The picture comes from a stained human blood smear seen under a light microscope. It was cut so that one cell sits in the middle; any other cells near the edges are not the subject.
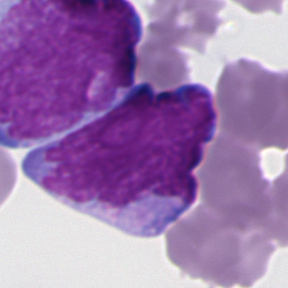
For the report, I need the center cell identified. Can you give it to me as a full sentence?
Regarding the central cell, it is a blast.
